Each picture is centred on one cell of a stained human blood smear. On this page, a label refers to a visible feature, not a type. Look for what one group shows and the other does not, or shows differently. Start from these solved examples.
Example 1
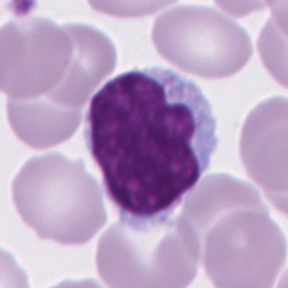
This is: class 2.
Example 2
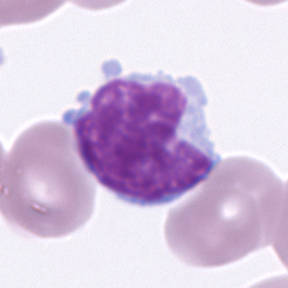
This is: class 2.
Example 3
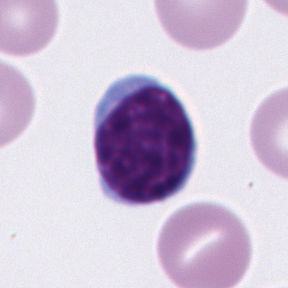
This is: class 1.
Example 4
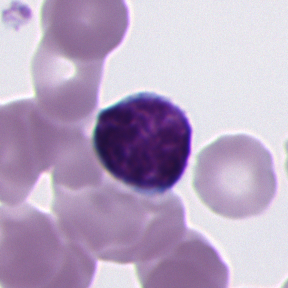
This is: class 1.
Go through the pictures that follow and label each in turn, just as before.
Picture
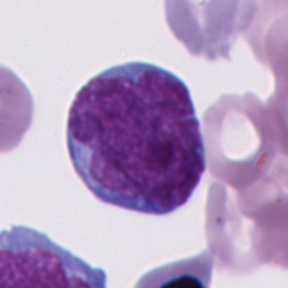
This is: class 1.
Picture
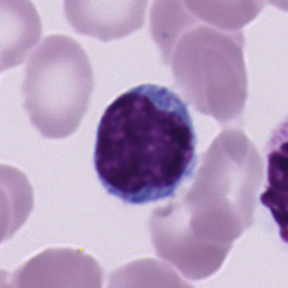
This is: class 1.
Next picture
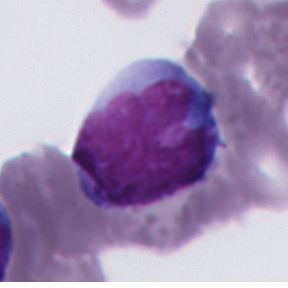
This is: class 2.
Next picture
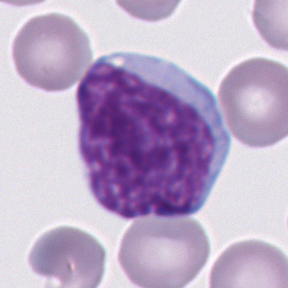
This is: class 1.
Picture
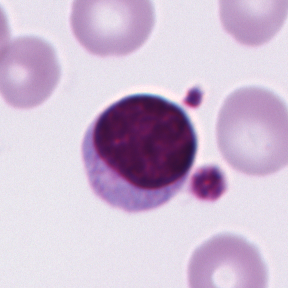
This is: class 1.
